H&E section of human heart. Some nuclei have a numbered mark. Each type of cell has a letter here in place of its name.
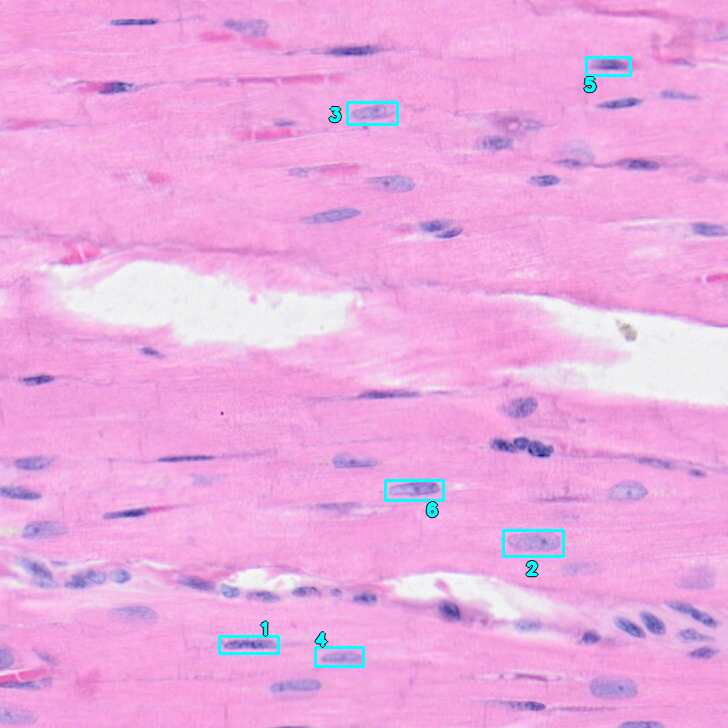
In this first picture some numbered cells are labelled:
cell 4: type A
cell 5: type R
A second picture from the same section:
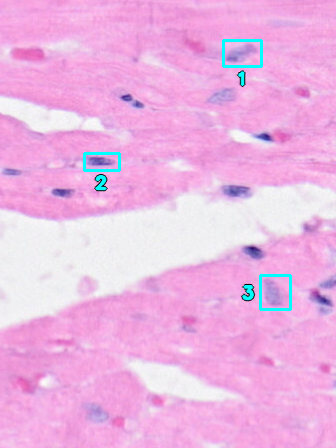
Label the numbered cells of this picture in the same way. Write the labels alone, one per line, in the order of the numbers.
type R
type R
type A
